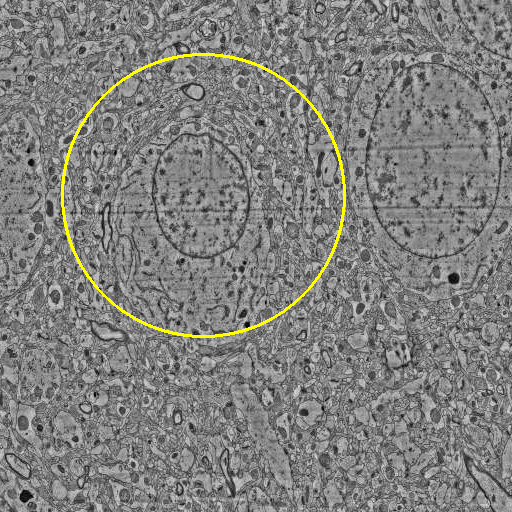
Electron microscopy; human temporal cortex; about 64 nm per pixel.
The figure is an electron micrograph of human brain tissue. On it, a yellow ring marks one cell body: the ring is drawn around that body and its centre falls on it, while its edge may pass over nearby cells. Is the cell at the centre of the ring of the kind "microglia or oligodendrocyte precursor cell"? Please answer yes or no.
no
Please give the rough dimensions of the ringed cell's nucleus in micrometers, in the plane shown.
About 8 by 6 micrometers, in this plane.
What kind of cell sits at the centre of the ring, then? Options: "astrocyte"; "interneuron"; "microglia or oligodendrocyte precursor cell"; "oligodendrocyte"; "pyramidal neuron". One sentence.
That cell in the ring is a pyramidal neuron instead.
